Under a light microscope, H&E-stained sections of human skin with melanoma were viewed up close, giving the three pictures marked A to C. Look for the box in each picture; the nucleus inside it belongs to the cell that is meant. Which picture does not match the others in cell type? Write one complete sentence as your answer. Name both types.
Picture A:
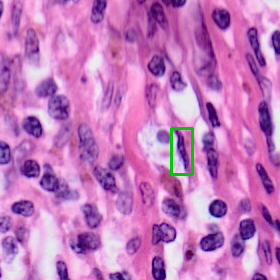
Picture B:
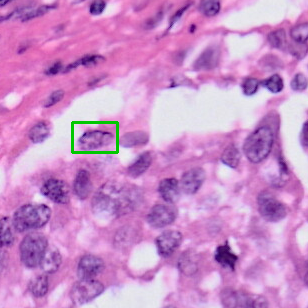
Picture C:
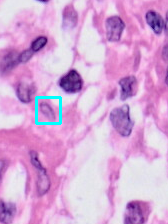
Picture A is the odd one out: it shows a “fibroblast or myofibroblast”, while the others show “macrophages or monocytes”.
